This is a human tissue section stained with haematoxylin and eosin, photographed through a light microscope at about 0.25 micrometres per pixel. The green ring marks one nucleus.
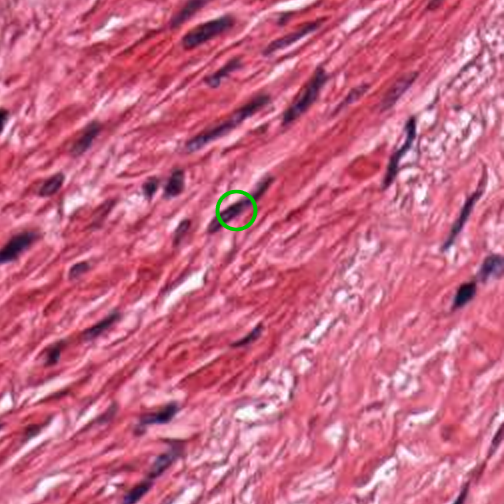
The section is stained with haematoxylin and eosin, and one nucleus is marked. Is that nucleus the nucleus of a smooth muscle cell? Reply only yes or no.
yes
